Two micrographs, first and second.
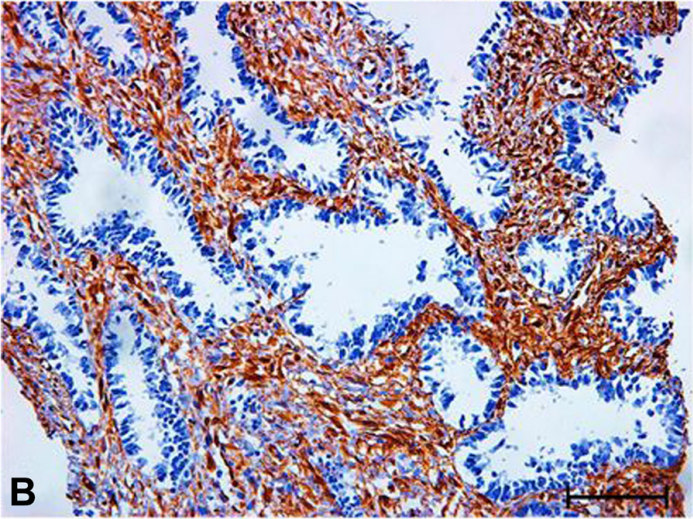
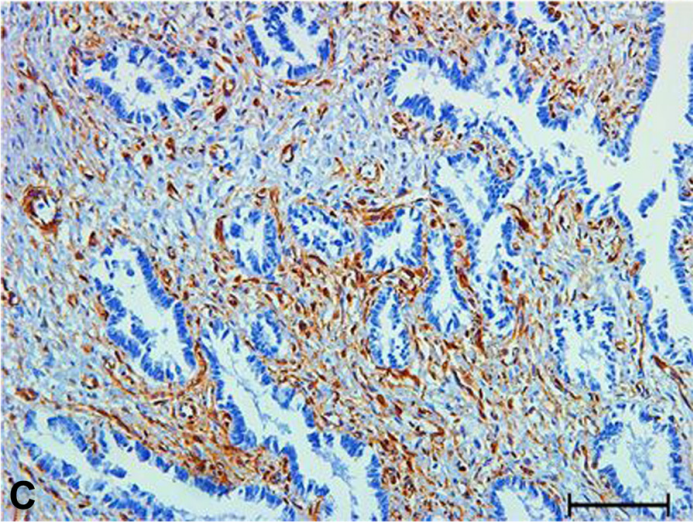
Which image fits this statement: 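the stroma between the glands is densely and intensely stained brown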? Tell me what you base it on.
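Second image: the stroma shows paler, patchier brown with many blue nuclei visible among the cells. First image: the stroma is packed with dark brown spindle cells throughout.
Conclusion: the first image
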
